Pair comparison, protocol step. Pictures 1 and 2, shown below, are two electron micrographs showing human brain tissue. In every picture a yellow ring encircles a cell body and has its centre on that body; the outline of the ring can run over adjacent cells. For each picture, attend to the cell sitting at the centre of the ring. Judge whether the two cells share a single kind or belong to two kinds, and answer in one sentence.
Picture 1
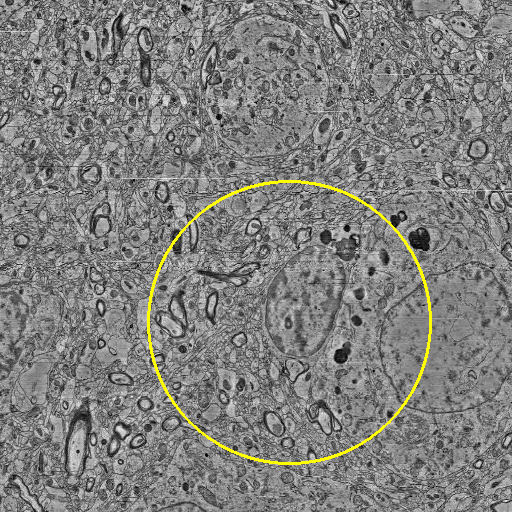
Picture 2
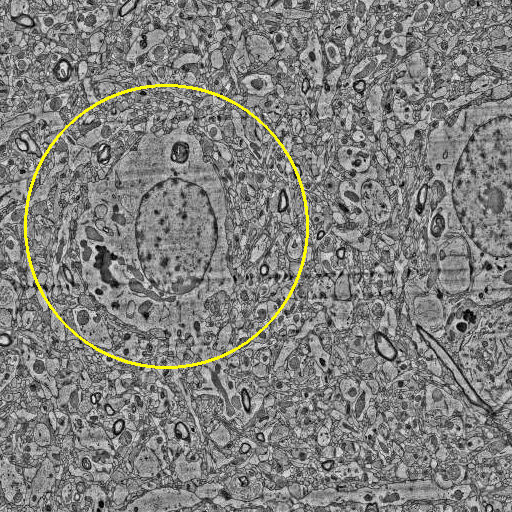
The two cells at the ring centres in Picture 1 and Picture 2 belong to two kinds.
